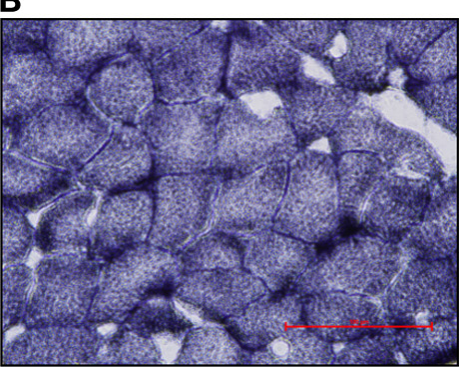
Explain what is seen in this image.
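This cross-section of muscle shows tightly packed fibers with rounded to polygonal outlines. Each fiber is filled with a fine, granular, deep purple-blue stain. Thin, darker lines mark the boundaries between neighbouring fibers. Small white gaps appear at some junctions between fibers. The fibers look broadly alike in size and staining intensity.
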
